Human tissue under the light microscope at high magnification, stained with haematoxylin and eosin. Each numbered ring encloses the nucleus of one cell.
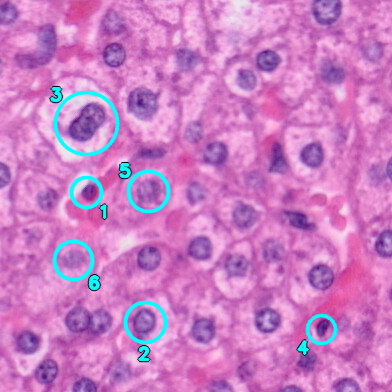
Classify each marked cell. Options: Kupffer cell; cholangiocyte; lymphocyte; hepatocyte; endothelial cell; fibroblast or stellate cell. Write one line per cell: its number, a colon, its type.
1: lymphocyte
2: hepatocyte
3: hepatocyte
4: lymphocyte
5: hepatocyte
6: hepatocyte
